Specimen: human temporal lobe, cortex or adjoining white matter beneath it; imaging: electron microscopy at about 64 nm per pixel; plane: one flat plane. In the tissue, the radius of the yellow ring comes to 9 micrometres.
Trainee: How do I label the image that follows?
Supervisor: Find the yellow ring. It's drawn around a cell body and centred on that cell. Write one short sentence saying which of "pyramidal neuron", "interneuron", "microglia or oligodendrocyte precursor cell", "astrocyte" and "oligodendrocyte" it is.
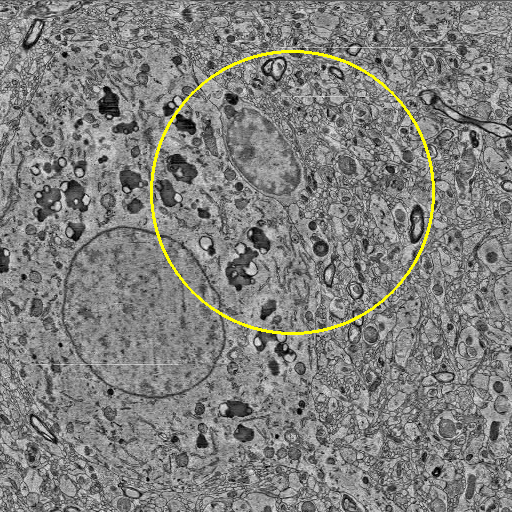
This is the cell body of an oligodendrocyte.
